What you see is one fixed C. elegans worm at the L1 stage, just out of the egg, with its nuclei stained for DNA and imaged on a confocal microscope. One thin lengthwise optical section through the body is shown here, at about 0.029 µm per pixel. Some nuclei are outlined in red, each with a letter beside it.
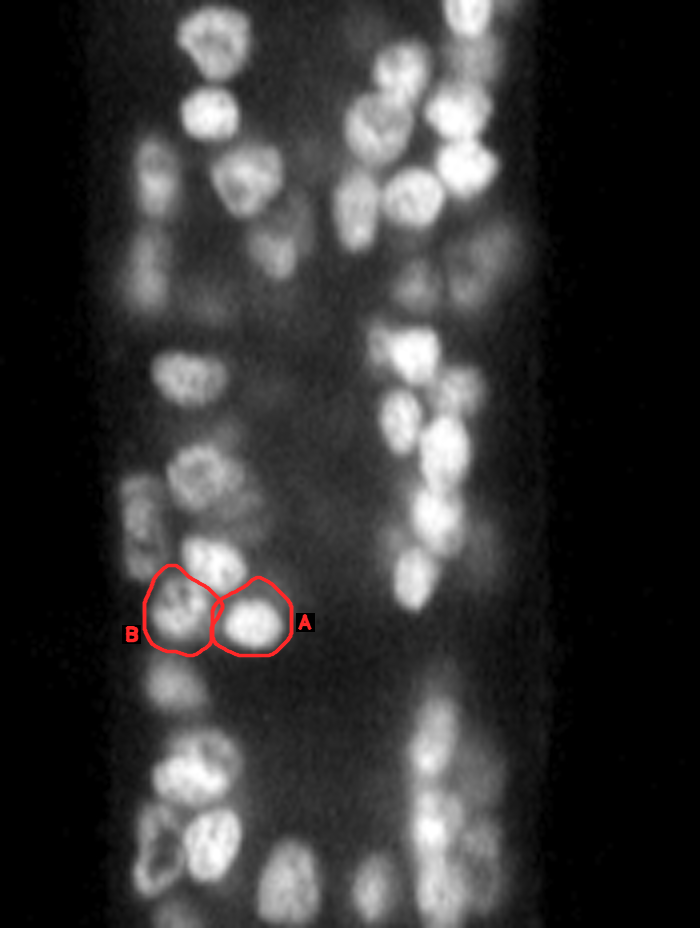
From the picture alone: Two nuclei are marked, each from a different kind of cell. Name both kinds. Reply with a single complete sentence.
A is from a GLR cell, and B is from a neuron.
